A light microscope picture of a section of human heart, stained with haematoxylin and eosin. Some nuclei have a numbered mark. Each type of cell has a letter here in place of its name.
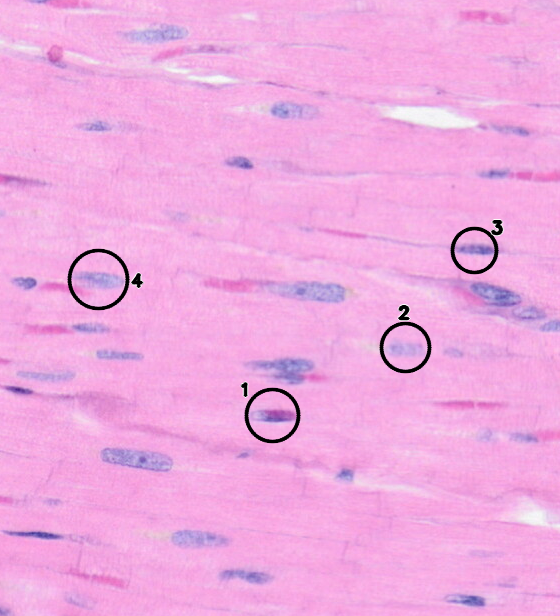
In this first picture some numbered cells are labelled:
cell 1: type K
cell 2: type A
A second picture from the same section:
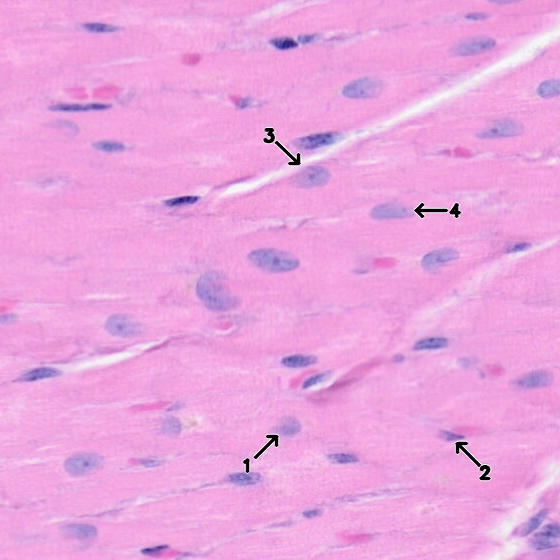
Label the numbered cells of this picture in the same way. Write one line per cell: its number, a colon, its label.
1: type A
2: type K
3: type A
4: type A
